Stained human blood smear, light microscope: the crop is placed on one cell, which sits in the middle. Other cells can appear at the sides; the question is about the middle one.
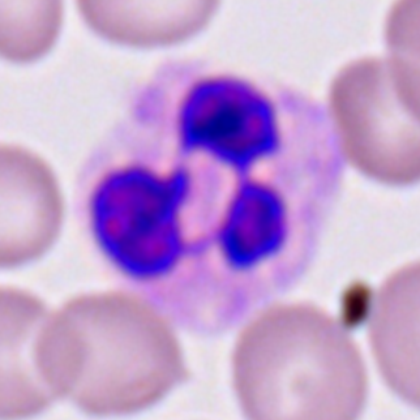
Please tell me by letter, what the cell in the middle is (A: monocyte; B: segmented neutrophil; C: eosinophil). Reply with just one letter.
B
